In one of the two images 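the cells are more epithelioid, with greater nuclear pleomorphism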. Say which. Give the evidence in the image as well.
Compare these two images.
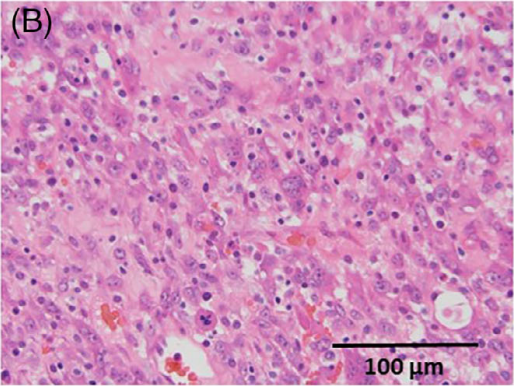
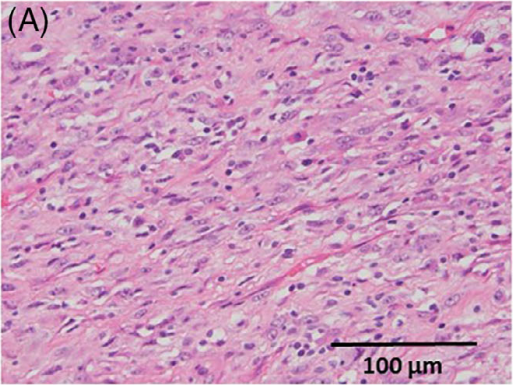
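First image: many plump polygonal cells with nuclei of varied size and shape. Second image: mostly elongated spindle cells with fairly uniform oval nuclei in fascicles. On this evidence: the first image.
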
